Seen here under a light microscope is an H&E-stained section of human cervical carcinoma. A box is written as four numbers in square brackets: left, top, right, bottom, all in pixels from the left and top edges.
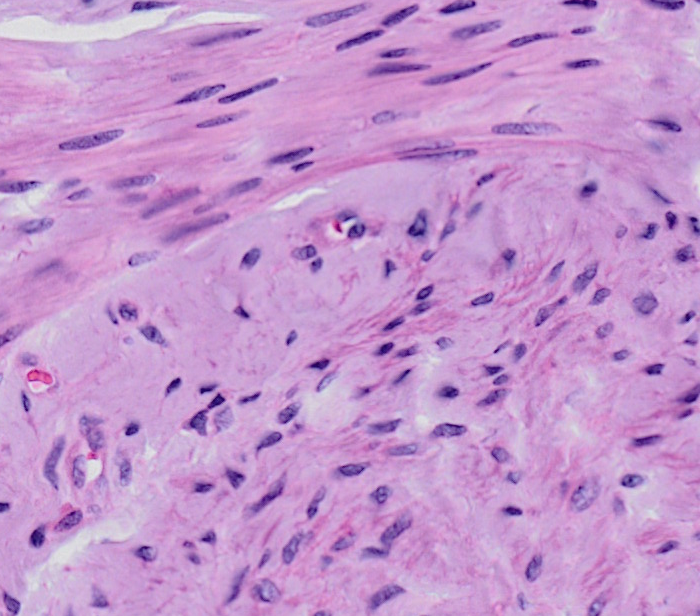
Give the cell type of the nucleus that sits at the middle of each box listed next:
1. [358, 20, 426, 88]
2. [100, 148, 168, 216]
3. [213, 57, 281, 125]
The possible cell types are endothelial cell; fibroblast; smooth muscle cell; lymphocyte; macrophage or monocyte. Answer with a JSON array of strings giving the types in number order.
["fibroblast", "smooth muscle cell", "fibroblast"]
